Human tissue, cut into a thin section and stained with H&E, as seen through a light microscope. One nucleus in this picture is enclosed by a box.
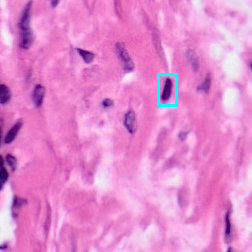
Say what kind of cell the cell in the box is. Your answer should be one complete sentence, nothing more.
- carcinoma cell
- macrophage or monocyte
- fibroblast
Recorded by type, the cell in the box is a fibroblast.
